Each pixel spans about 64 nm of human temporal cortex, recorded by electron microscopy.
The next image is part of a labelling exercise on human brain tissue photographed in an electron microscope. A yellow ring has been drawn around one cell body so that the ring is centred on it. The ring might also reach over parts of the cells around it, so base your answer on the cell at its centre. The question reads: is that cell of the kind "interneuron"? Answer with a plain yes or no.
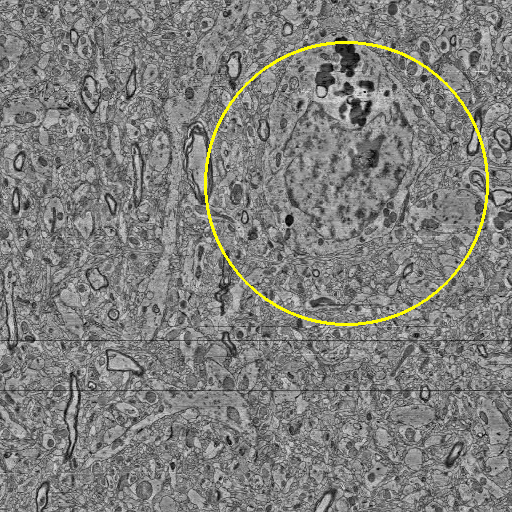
yes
